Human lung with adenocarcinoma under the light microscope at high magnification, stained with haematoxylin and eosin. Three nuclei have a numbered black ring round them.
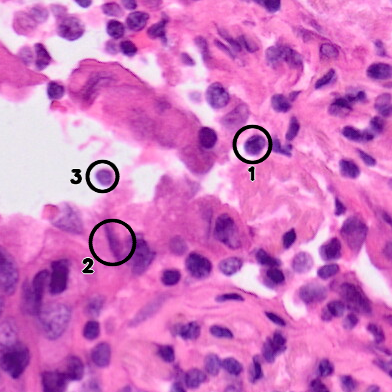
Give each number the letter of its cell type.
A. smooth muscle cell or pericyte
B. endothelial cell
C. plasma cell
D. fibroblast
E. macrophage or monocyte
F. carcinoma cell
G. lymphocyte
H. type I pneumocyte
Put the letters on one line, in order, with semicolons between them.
G; F; G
